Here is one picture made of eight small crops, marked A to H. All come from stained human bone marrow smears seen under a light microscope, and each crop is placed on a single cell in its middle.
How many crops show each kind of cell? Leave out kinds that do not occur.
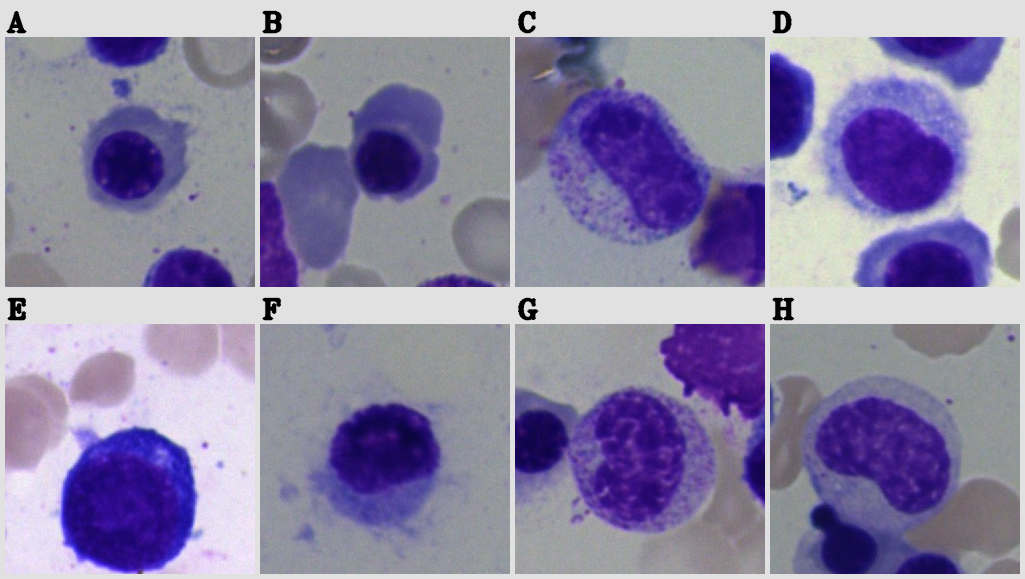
erythroblast: 3
metamyelocyte: 3
hairy cell: 2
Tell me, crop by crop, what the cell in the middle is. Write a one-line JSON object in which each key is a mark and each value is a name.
{"A": "erythroblast", "B": "erythroblast", "C": "metamyelocyte", "D": "hairy cell", "E": "erythroblast", "F": "hairy cell", "G": "metamyelocyte", "H": "metamyelocyte"}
